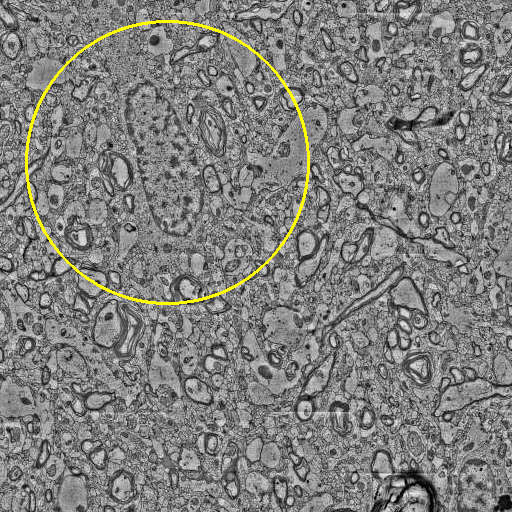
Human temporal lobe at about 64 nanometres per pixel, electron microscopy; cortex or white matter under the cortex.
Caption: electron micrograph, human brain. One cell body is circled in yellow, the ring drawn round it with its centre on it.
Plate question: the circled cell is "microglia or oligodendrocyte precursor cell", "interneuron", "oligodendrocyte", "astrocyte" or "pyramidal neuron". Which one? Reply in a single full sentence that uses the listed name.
The yellow ring on the plate is centred on an oligodendrocyte, going by the listed names.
